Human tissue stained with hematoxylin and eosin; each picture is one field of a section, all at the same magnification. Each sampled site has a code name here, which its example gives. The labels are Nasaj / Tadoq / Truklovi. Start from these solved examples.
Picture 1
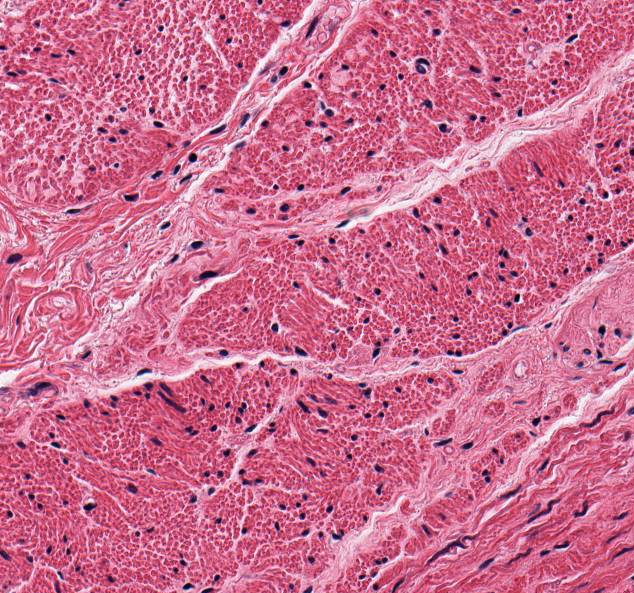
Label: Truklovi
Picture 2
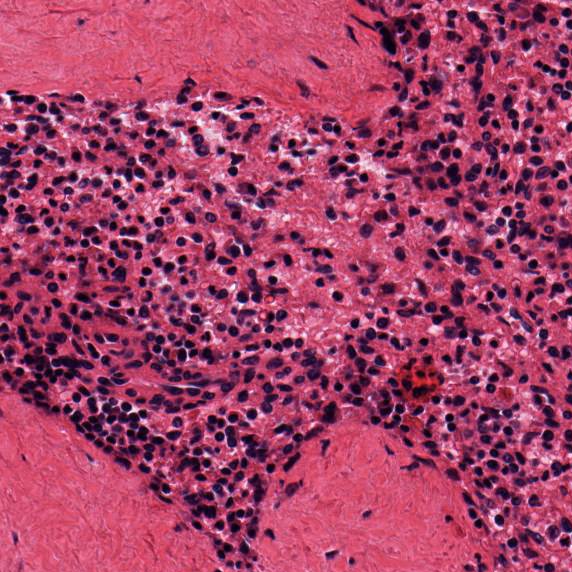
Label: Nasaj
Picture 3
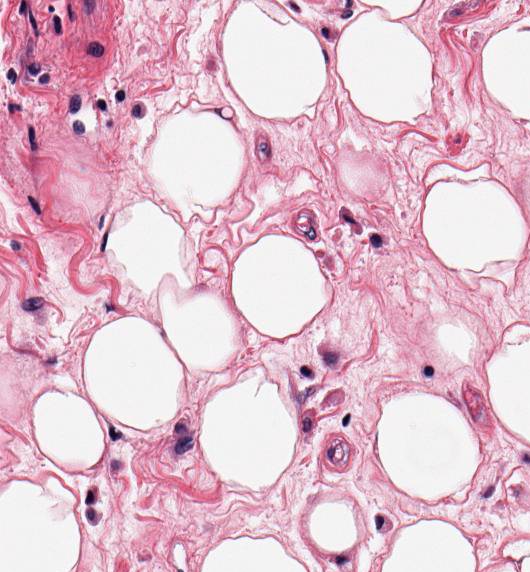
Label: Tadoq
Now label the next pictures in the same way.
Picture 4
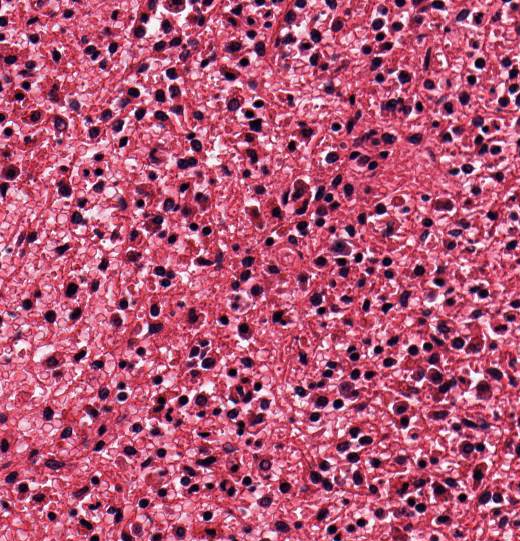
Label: Nasaj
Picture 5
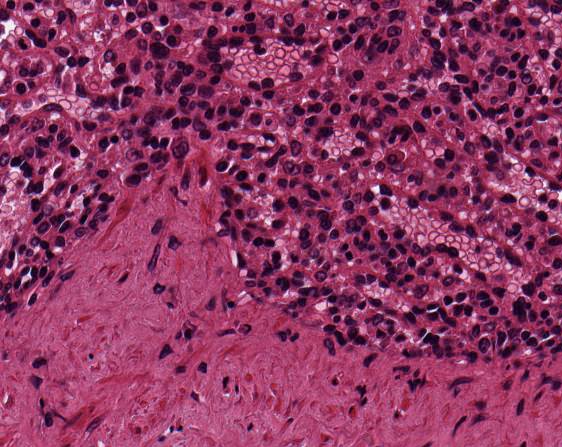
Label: Nasaj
